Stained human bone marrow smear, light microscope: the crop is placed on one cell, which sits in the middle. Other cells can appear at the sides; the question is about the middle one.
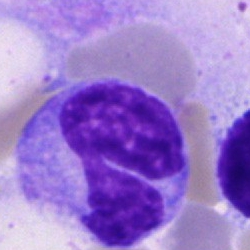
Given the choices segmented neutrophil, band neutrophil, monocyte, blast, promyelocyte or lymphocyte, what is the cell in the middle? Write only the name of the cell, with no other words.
monocyte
